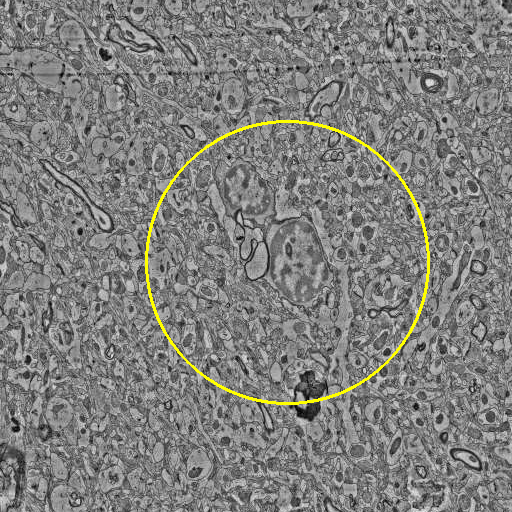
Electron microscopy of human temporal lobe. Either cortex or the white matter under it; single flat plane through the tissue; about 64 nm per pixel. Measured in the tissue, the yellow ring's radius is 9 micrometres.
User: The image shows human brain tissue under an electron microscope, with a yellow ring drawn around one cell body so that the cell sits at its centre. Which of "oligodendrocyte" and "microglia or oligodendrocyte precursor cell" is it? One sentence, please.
At the centre of the ring sits an oligodendrocyte.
